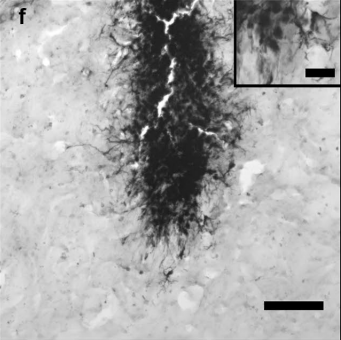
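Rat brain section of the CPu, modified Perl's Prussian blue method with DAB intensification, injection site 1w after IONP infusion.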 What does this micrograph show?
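The cells are so crowded in the core that single bodies merge into a solid dark mass, split by a thin white crack. At the margins, individual cells stand out with many fine, thin, branching processes radiating into the neighbouring tissue. Around the column the neuropil is pale grey and contains rounded and oval pale profiles of fibre bundles. An inset at the upper right shows, at higher magnification, dark cell bodies with short processes.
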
